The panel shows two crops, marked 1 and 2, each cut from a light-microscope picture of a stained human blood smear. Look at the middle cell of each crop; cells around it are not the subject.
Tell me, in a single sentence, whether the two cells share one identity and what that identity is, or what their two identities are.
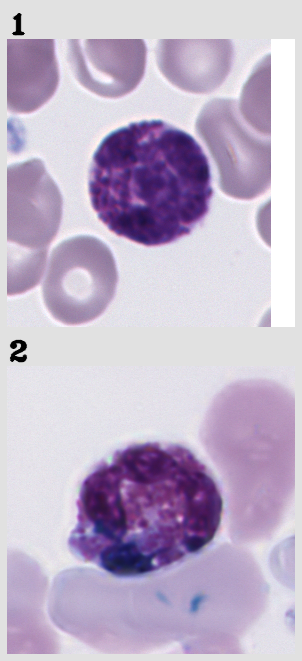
No, the assignment should read crop 1, a basophil; crop 2, an eosinophil.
